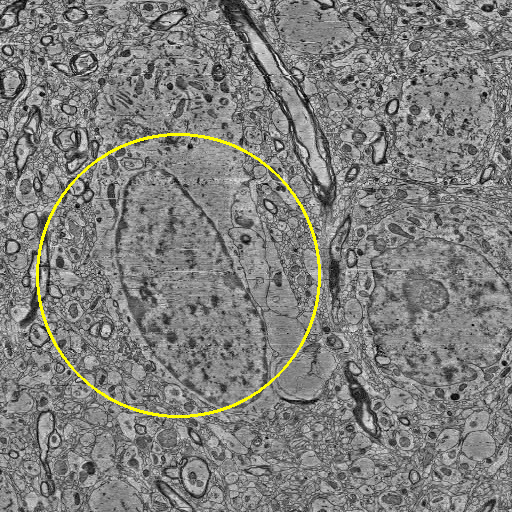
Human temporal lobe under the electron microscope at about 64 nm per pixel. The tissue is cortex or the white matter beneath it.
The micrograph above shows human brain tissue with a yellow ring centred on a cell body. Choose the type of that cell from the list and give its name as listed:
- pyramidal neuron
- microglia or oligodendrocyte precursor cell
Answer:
microglia or oligodendrocyte precursor cell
